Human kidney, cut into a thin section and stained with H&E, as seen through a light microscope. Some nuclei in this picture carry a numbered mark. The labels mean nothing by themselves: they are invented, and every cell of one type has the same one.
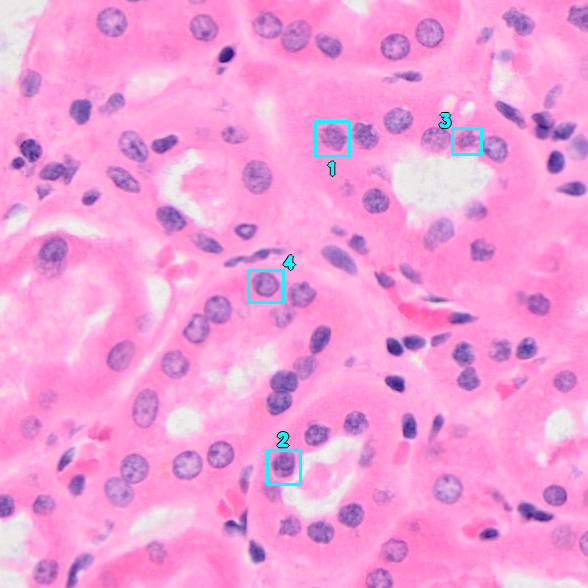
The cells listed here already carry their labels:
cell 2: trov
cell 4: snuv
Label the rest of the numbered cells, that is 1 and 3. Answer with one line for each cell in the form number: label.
1: trov
3: trov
